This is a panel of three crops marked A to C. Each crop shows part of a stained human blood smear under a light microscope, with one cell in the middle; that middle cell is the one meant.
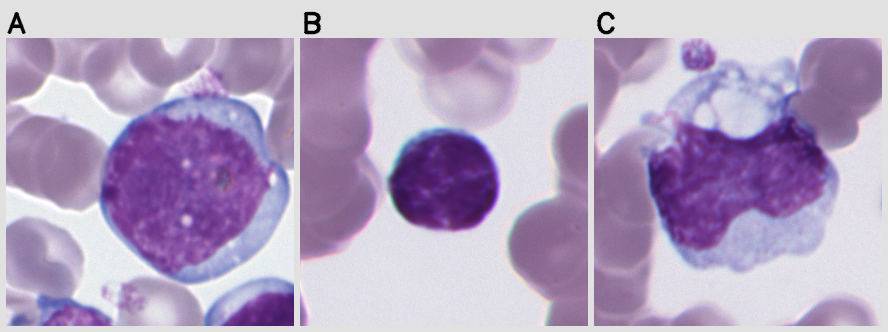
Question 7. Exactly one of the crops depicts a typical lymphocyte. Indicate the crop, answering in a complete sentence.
The crop carrying a typical lymphocyte at the center is crop B.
